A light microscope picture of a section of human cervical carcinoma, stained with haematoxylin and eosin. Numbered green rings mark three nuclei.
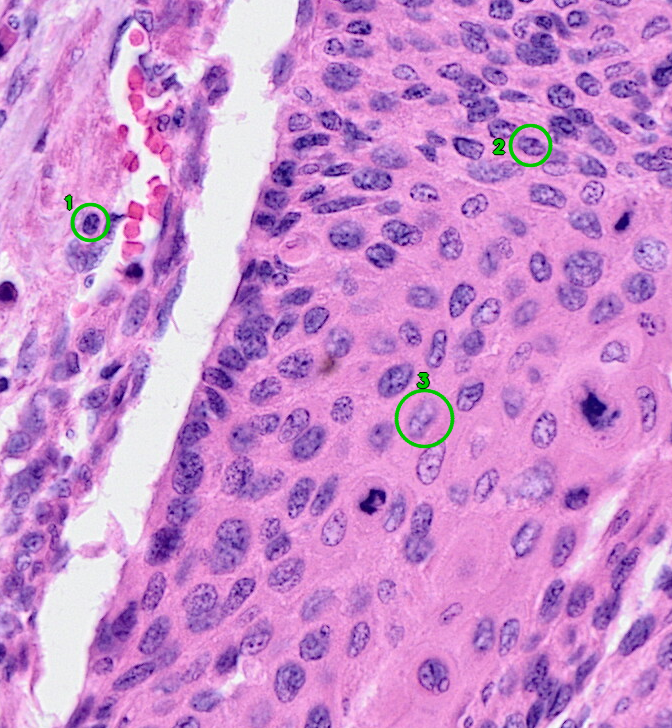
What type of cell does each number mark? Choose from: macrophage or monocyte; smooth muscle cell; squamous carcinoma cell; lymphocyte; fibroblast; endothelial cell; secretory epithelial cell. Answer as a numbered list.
1. lymphocyte
2. squamous carcinoma cell
3. squamous carcinoma cell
